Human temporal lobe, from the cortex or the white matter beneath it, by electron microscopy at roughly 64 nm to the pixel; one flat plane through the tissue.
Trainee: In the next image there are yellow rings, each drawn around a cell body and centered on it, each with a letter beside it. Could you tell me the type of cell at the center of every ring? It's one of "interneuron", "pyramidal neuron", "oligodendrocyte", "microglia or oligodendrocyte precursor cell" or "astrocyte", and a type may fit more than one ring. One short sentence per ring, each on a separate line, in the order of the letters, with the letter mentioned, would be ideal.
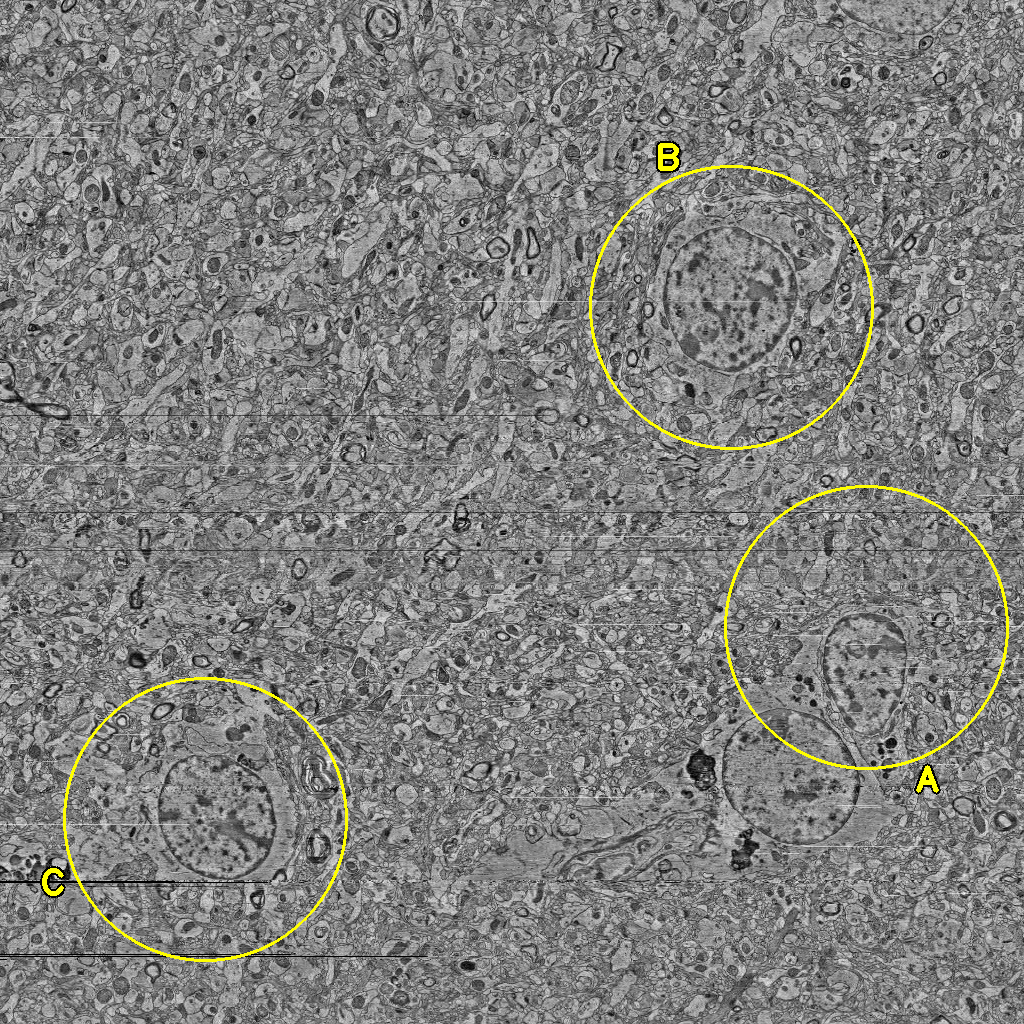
What ring A is centered on is a microglial cell or oligodendrocyte precursor cell.
What ring B is centered on is an astrocyte.
What ring C is centered on is an astrocyte.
